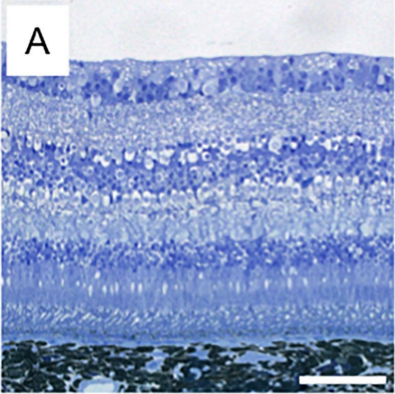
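At the top lies the pale inner surface with a band of scattered ganglion cell bodies. Beneath alternate paler fibrous plexiform layers and darker bands crowded with small round nuclei, the inner and outer nuclear layers. Toward the bottom, the photoreceptor inner and outer segments form a striated, lighter band of slender parallel elements. At the very bottom lies a thin pigment epithelium over the dark, densely pigmented choroid. The layers are even and continuous throughout.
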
